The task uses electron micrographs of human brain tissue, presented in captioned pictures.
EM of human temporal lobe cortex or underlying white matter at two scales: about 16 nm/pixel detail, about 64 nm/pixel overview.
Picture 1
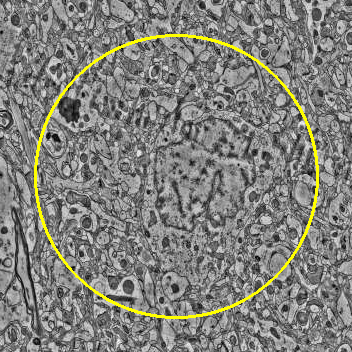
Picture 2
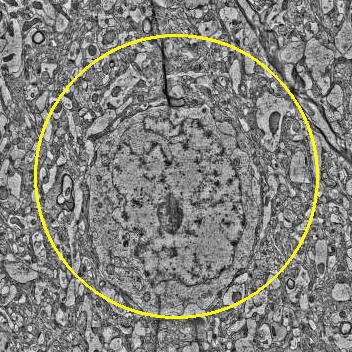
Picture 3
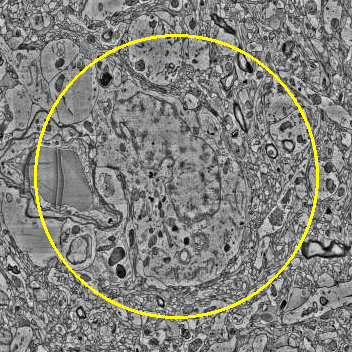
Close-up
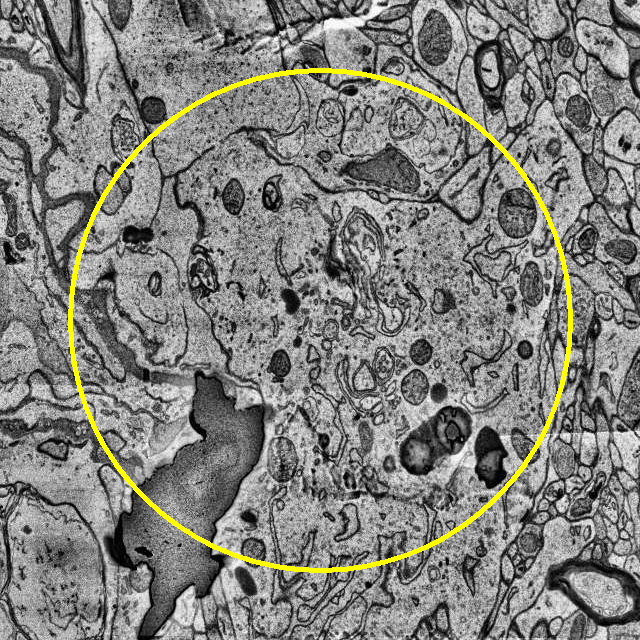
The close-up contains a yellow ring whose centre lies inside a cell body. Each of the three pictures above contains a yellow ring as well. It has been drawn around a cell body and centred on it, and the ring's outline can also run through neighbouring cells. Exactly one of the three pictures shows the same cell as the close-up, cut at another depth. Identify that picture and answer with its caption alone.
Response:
Picture 3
